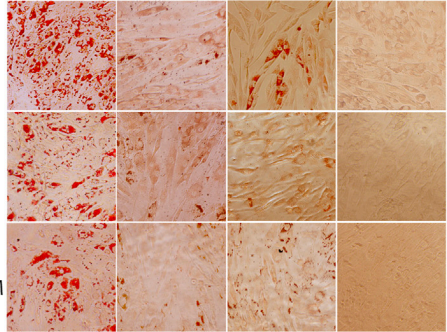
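In the leftmost column, many cells contain clusters of rounded red lipid droplets, forming large irregular red patches across the field. The remaining columns show mostly elongated, spindle-shaped cells with pale pink to brown cytoplasm, arranged in loosely aligned sheets. The density of red-stained cells differs markedly between the leftmost column and the rest of the grid.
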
